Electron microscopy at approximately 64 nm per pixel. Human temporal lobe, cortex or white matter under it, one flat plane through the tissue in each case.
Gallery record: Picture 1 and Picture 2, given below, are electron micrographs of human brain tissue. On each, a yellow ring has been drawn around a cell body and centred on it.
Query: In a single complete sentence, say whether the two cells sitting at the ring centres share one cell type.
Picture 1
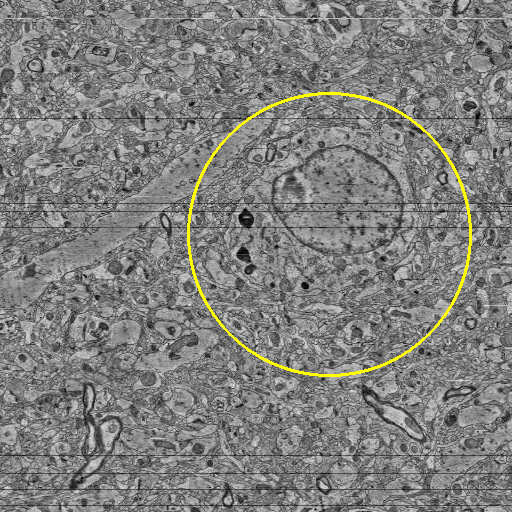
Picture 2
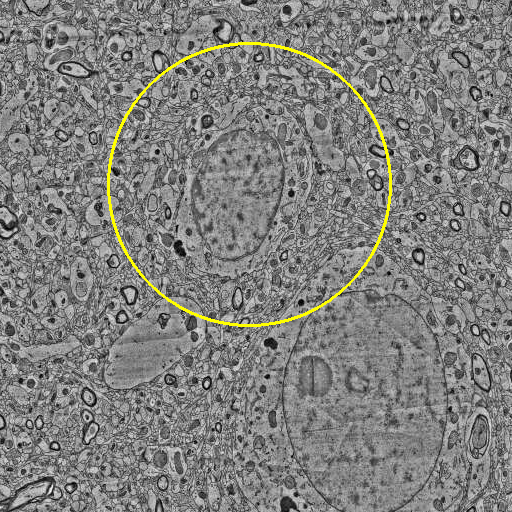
No, in the two pictures the cells at the rings' centres are of two separate types.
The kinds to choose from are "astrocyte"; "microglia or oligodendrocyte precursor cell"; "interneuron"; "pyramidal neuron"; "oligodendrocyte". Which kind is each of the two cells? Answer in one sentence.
Of the two, the first cell is a pyramidal neuron and the second cell is an interneuron.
